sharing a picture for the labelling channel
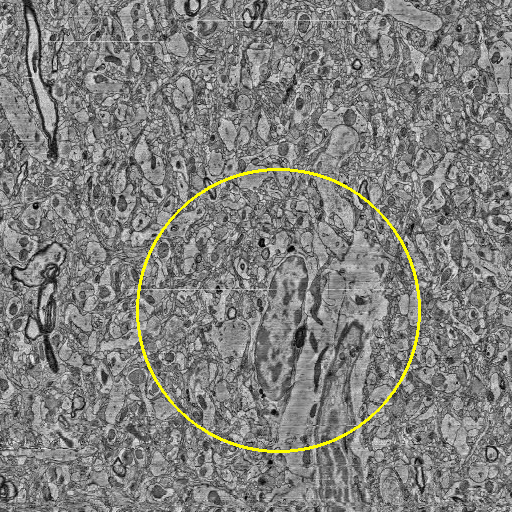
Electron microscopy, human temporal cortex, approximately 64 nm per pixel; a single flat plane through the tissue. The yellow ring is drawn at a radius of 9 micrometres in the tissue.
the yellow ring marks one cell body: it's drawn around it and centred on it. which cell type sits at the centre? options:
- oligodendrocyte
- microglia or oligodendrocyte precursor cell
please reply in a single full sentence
In the picture, the cell at the ring's centre is a microglial cell or oligodendrocyte precursor cell, going by the list.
